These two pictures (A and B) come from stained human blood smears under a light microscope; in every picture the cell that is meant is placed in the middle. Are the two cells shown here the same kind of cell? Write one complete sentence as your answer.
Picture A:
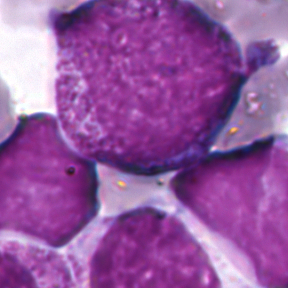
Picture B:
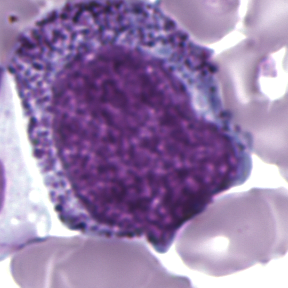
Yes, the two pictures both show promyelocytes.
